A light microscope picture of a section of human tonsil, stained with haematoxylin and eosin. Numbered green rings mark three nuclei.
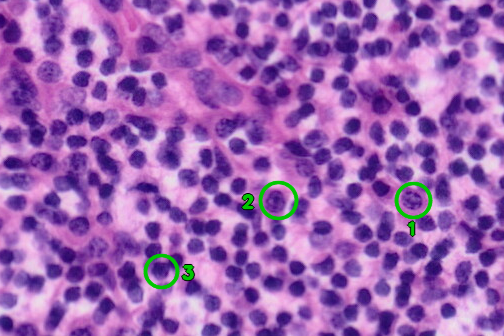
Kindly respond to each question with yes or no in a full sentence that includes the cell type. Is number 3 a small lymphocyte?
Yes, the cell sitting at number 3 is a small lymphocyte.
